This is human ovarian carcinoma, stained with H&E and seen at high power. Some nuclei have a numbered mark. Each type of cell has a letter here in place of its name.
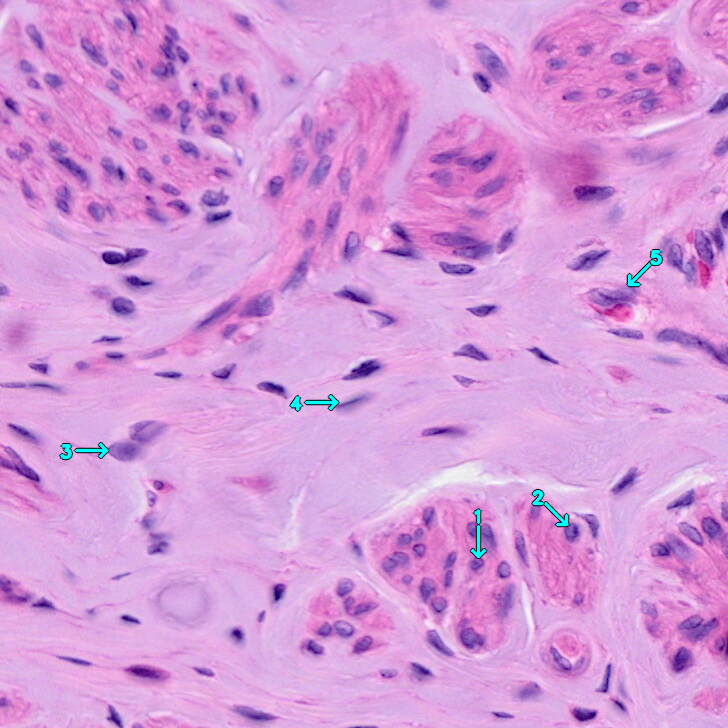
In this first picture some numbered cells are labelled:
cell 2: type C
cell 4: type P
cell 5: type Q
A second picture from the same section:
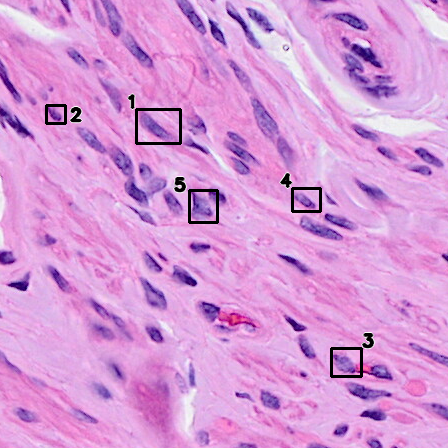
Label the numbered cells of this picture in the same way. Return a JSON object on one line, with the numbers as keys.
{"1": "type C", "2": "type C", "3": "type Q", "4": "type C", "5": "type P"}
